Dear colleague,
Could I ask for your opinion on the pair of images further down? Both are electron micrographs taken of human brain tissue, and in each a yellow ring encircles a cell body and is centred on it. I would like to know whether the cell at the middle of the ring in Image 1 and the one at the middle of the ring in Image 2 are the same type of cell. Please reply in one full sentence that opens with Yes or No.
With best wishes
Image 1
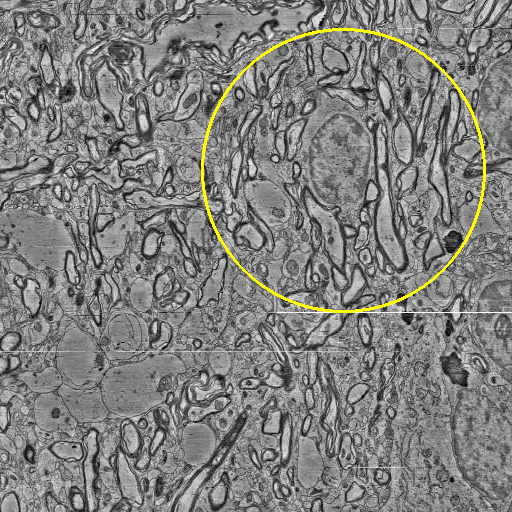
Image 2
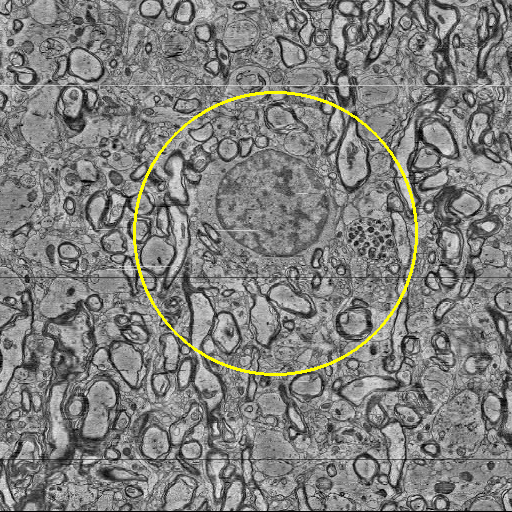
Yes, the cells at the ring centres in Image 1 and Image 2 are of one type.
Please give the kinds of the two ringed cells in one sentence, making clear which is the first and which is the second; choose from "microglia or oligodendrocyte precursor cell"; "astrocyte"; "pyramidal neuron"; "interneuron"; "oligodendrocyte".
Both cells are the same kind, each one being an oligodendrocyte.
